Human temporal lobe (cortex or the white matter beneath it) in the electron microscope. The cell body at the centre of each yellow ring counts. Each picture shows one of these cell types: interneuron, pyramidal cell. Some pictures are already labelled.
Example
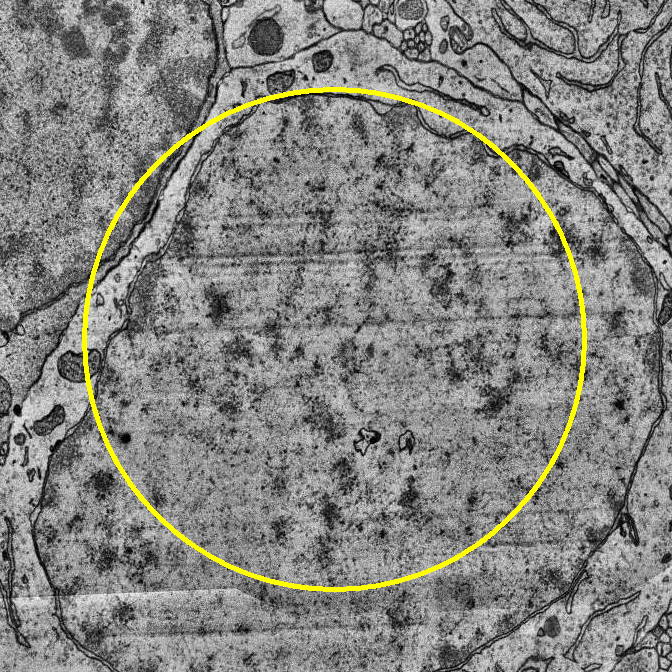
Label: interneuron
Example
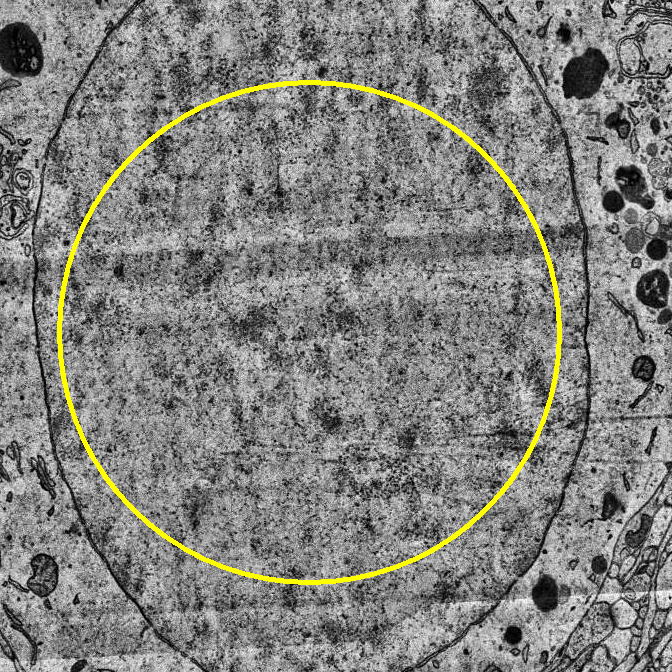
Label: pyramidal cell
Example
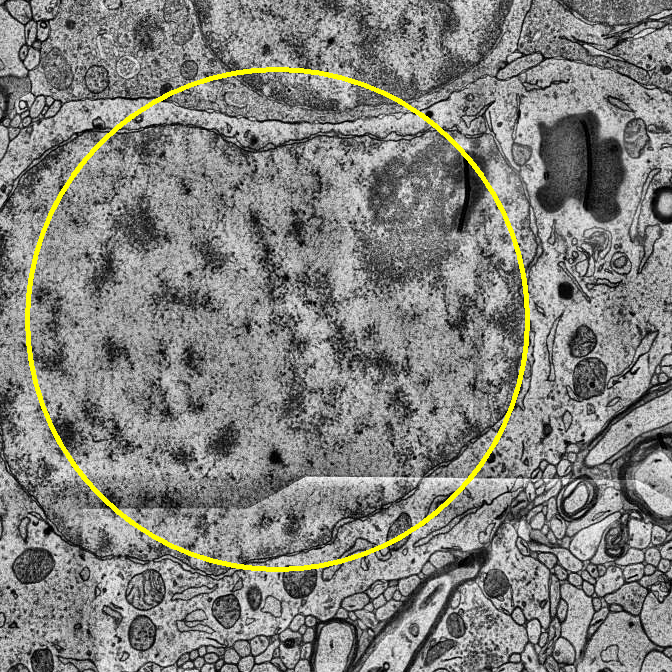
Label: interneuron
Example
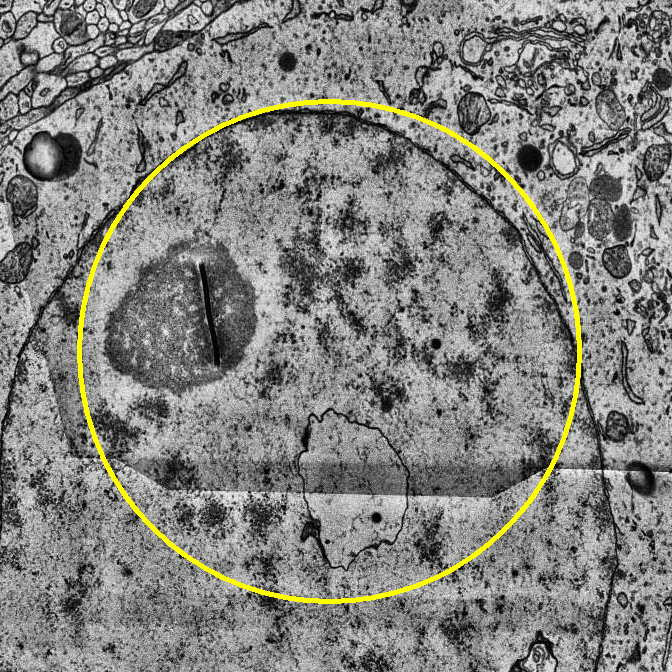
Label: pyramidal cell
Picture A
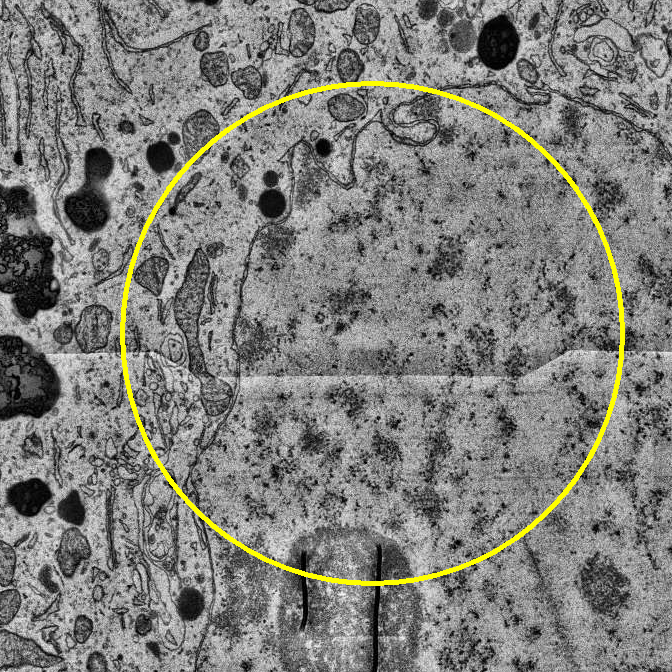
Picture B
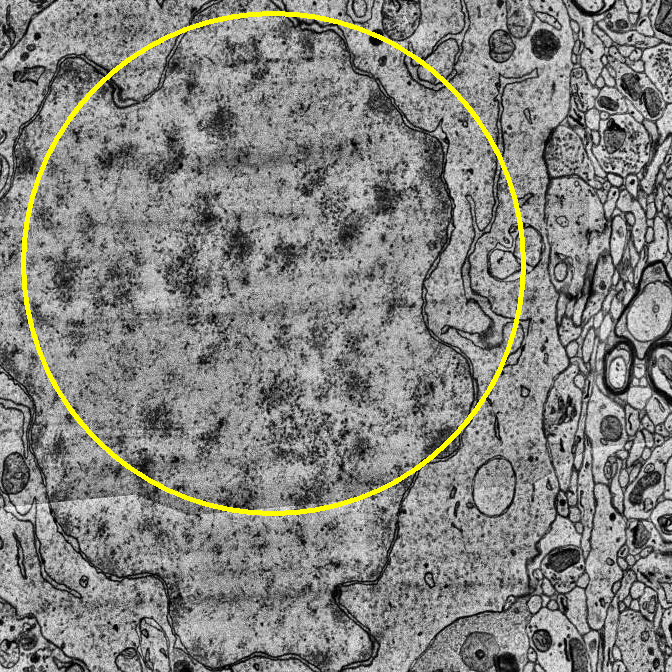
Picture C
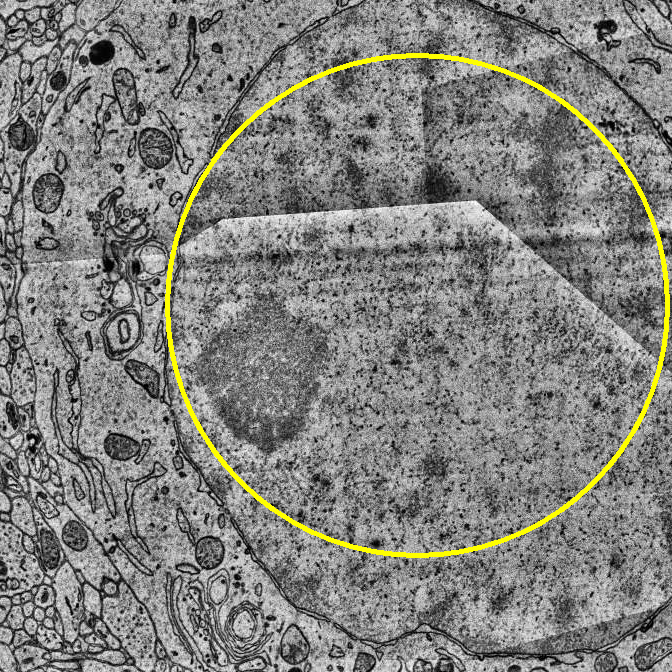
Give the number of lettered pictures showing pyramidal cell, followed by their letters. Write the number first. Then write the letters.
0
